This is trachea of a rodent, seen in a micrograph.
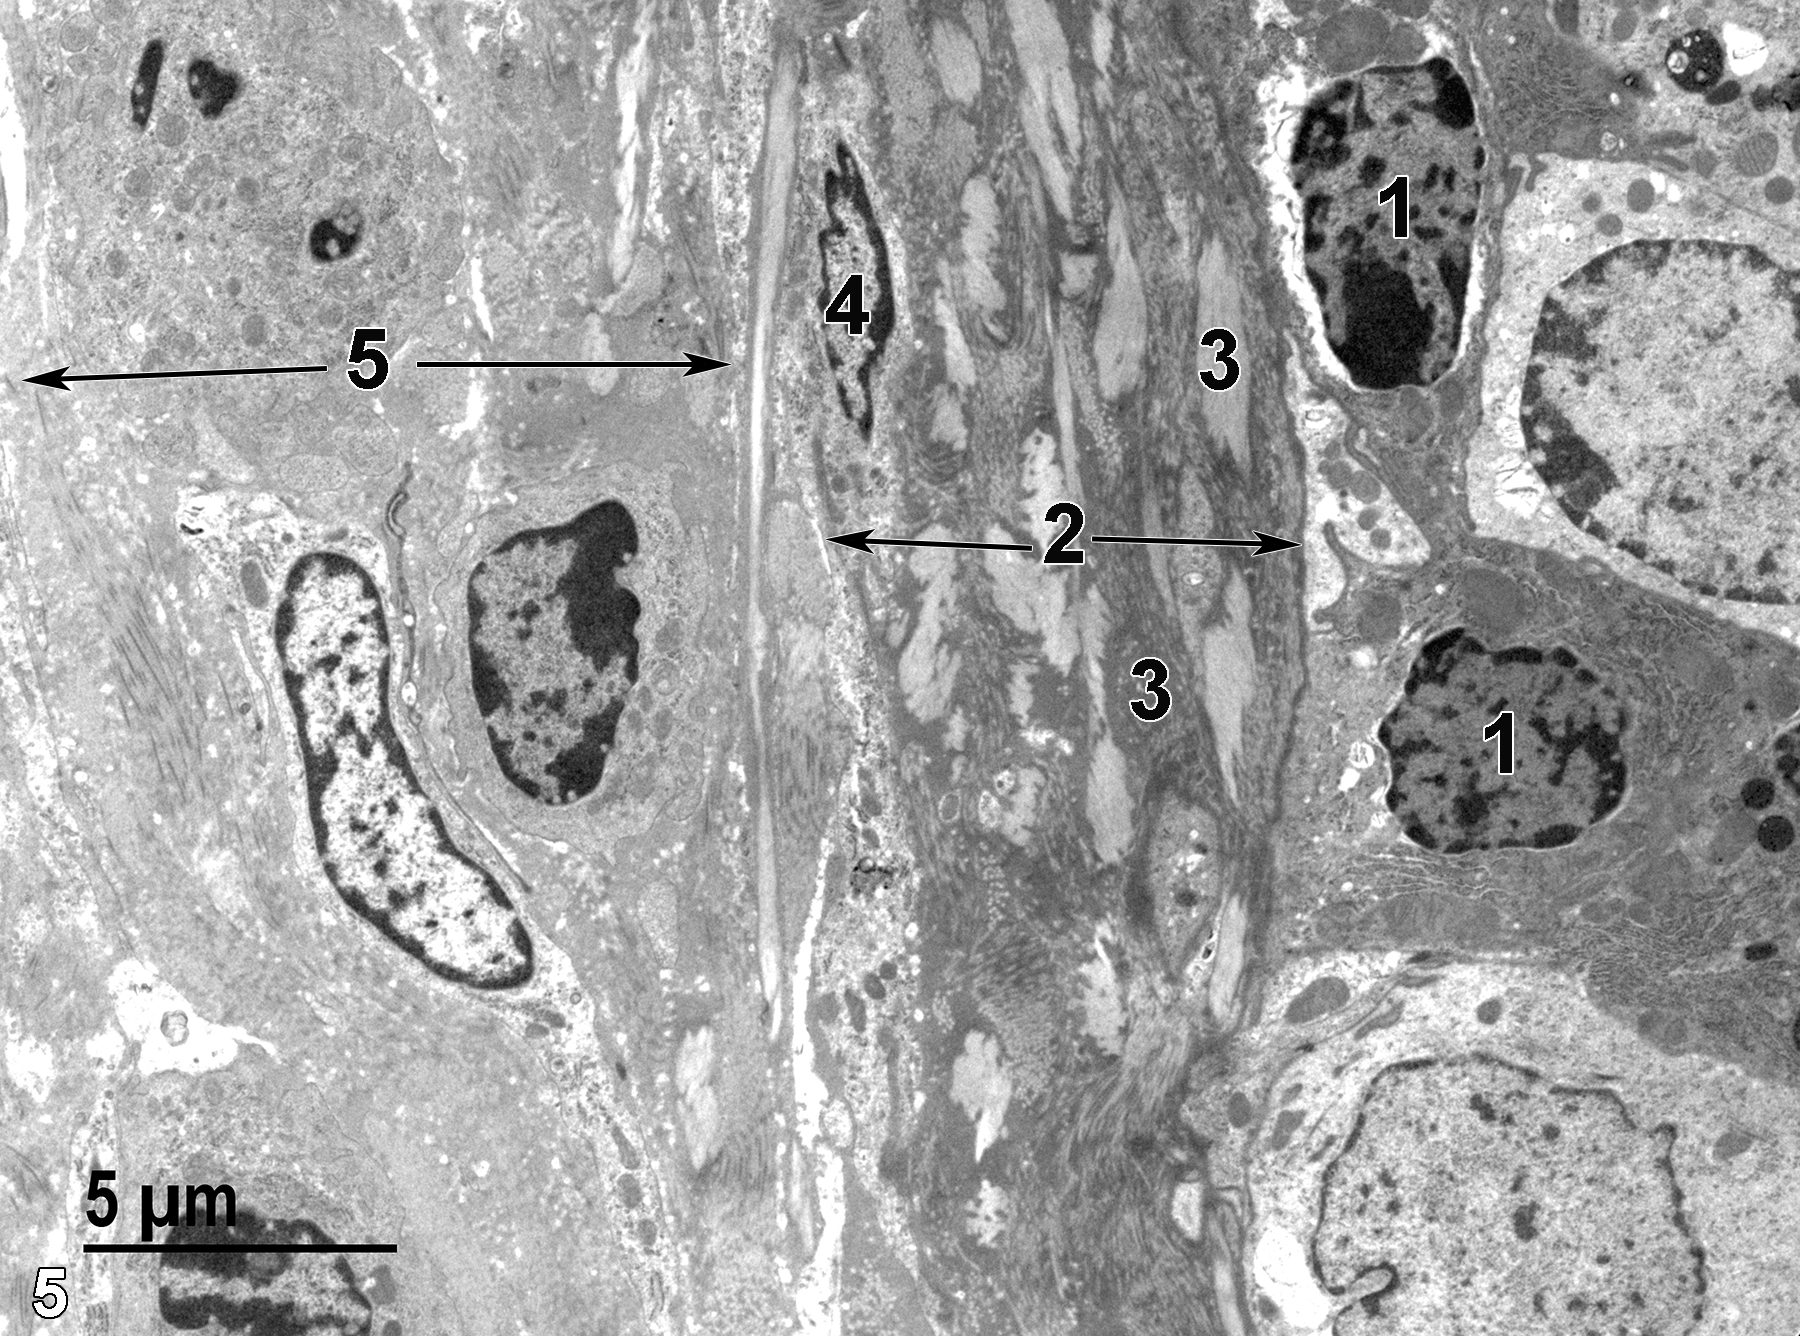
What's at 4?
fibroblast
